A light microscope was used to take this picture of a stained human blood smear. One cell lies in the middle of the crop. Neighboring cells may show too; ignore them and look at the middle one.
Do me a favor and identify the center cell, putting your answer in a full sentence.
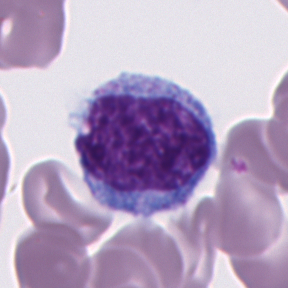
In the crop, the cell of interest at the centre is a monocyte.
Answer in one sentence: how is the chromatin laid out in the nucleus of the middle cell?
This nucleus has coarsely clumped chromatin.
